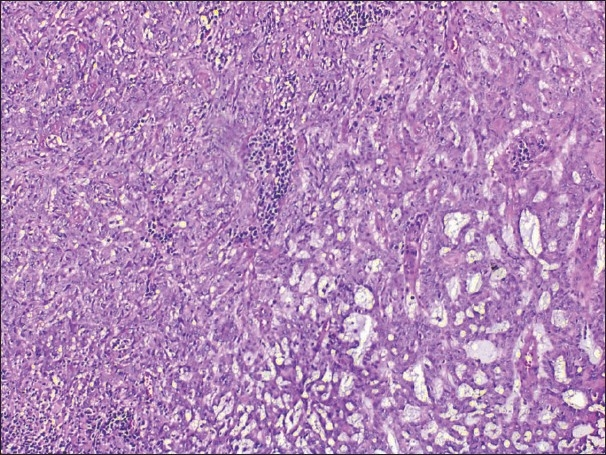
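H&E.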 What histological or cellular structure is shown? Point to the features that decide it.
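In the lower right, many small round and irregular clear spaces are lined by epithelial cells. These lumina form a tubular, gland-like pattern unlike the solid sheet on the left.
Answer: tubule formations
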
